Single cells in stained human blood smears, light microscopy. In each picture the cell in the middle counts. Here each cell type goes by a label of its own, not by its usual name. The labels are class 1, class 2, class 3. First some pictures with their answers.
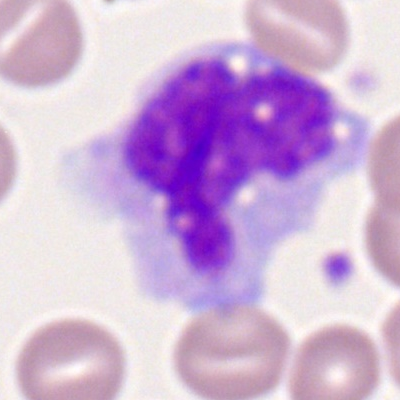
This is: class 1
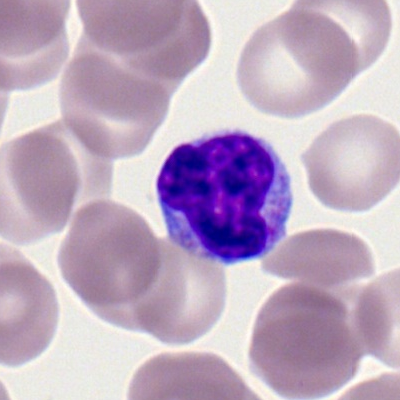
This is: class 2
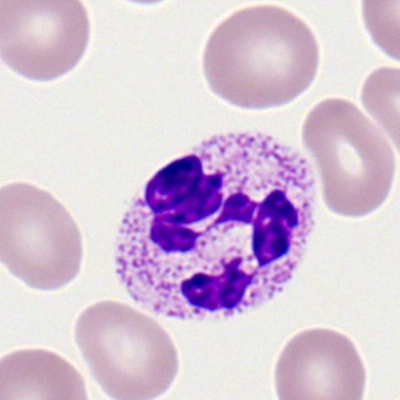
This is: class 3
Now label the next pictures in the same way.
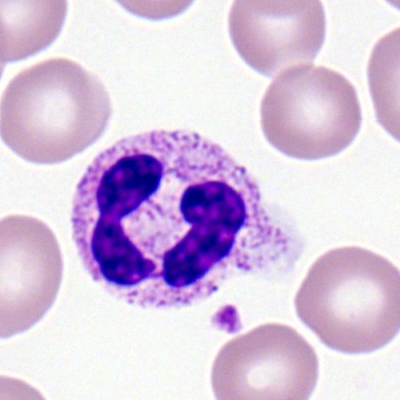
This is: class 3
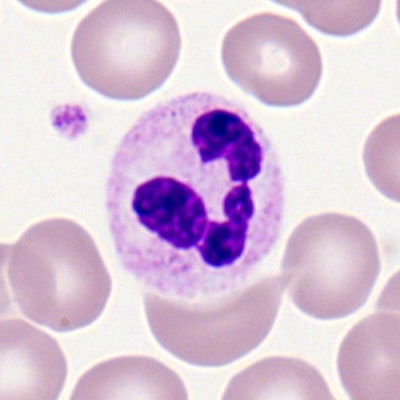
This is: class 3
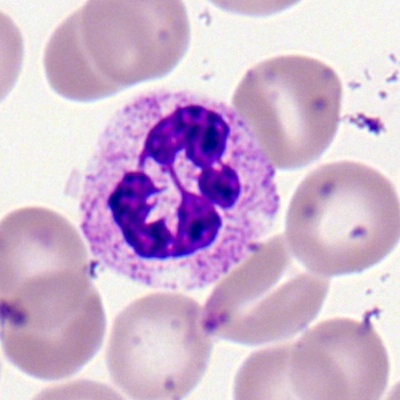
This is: class 3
